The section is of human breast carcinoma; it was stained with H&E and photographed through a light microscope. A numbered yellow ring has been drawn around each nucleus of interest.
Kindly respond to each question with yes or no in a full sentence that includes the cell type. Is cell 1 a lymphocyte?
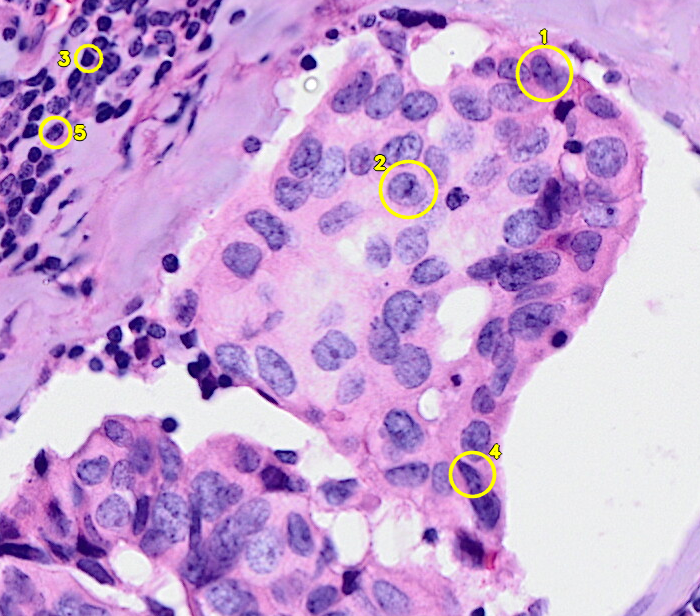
No, the nucleus numbered 1 belongs to a carcinoma cell, not a lymphocyte.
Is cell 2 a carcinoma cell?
Yes, exactly, the cell numbered 2 is a carcinoma cell.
